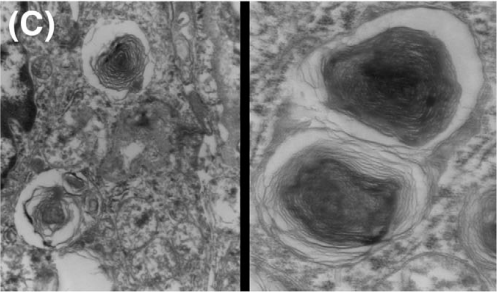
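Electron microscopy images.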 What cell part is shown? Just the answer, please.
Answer: Cytoplasmic lamellar inclusion bodies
